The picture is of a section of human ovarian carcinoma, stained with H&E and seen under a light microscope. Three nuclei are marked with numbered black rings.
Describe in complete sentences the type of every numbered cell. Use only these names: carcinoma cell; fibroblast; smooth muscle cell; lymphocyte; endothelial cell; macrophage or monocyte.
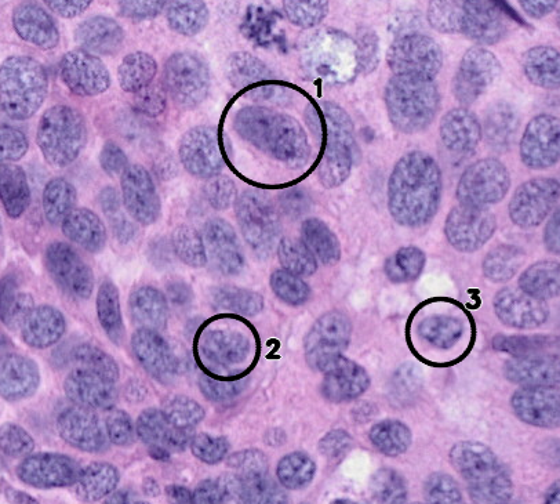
Cell 1 is a carcinoma cell, cell 2 is a carcinoma cell and cell 3 is a macrophage or monocyte.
